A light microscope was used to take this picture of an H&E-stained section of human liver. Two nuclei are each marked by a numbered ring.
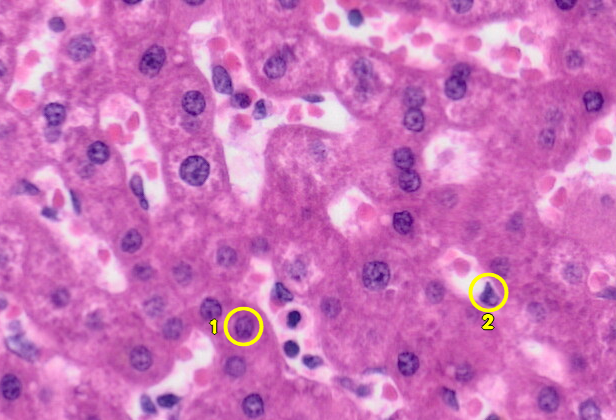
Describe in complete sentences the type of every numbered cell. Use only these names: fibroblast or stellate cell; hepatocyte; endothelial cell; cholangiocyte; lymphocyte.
Cell 1 is a hepatocyte. Cell 2 is an endothelial cell.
